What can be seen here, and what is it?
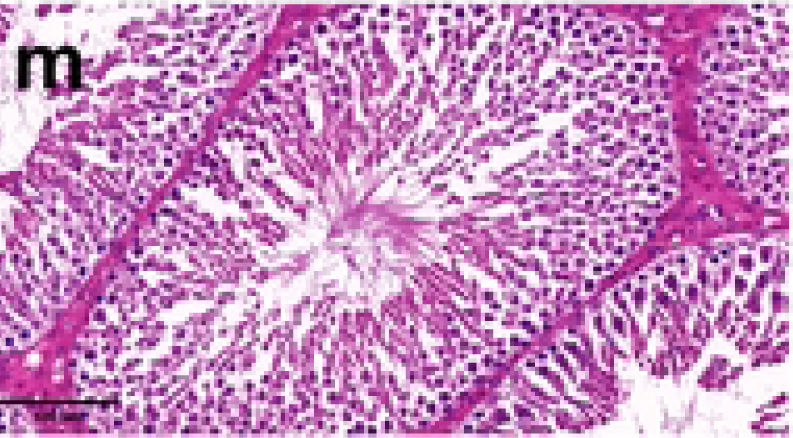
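This is a section of testis showing seminiferous tubules cut in cross-section. Each tubule is filled by many layers of germ cells stacked from the basement membrane towards the centre, with small dark round nuclei near the periphery and rows of elongated cells nearer the lumen. The lumen itself is crowded with pink, thread-like sperm tails arranged in a radiating pattern. Thin pink strands of interstitial tissue separate neighbouring tubules, which lie closely packed against one another.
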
